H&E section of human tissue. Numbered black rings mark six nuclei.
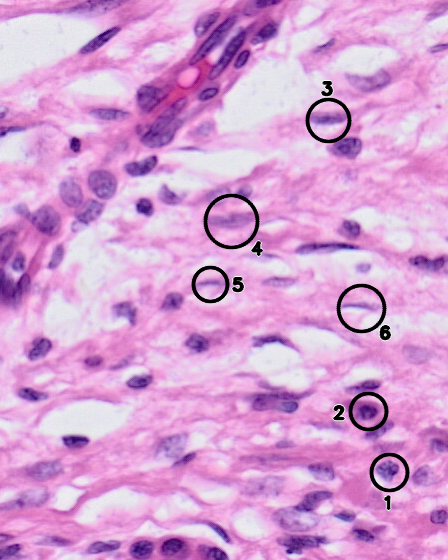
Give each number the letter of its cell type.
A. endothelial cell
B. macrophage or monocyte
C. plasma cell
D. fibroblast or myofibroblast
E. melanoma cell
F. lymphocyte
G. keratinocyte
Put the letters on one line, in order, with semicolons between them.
F; C; D; D; D; D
